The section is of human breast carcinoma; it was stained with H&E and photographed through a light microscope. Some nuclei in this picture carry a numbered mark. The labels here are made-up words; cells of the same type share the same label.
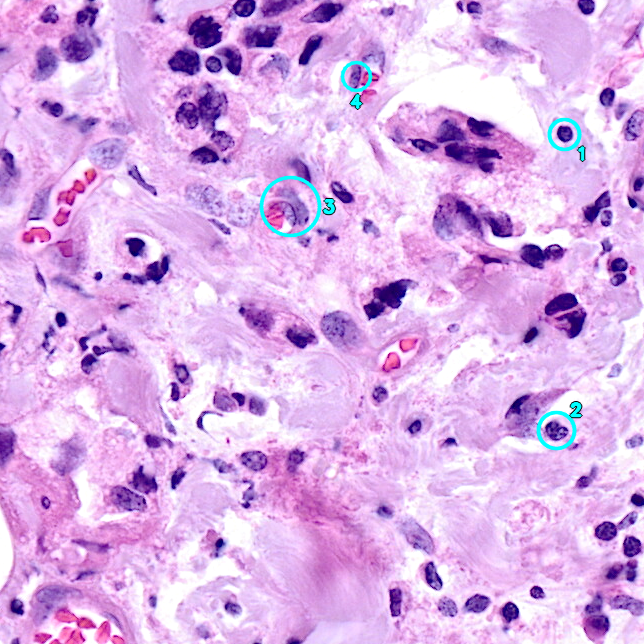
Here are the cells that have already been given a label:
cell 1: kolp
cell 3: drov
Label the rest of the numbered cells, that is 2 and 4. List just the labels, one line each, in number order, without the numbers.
kolp
drov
